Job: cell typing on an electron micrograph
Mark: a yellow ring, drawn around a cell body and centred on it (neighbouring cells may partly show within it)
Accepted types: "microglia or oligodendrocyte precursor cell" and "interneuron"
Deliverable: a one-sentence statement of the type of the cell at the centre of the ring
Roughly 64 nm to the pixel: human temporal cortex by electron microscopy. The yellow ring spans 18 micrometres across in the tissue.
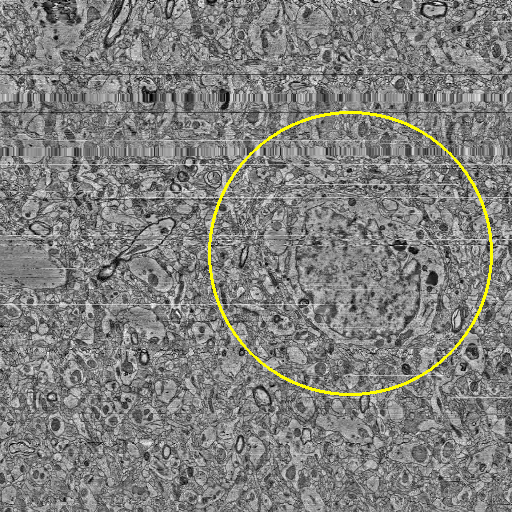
The centred cell body is that of an interneuron.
